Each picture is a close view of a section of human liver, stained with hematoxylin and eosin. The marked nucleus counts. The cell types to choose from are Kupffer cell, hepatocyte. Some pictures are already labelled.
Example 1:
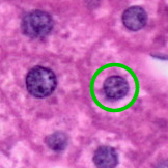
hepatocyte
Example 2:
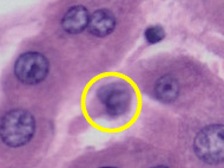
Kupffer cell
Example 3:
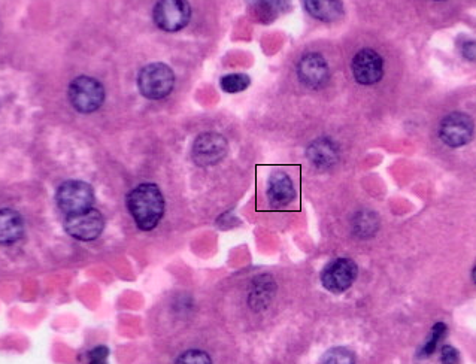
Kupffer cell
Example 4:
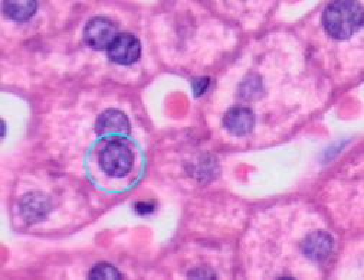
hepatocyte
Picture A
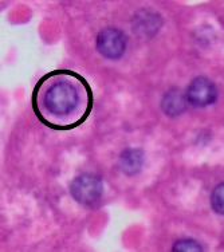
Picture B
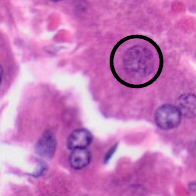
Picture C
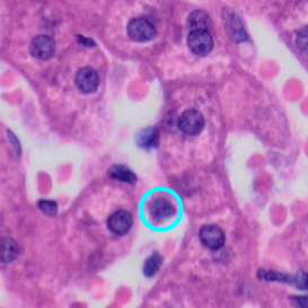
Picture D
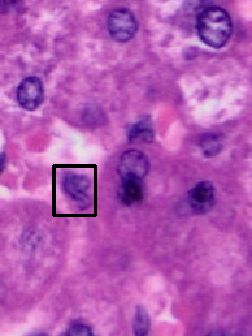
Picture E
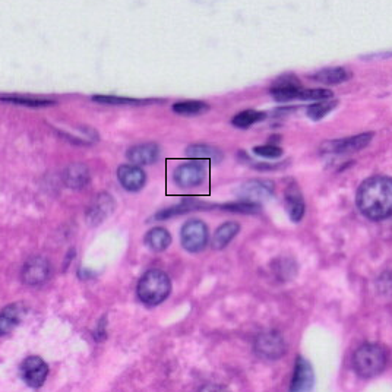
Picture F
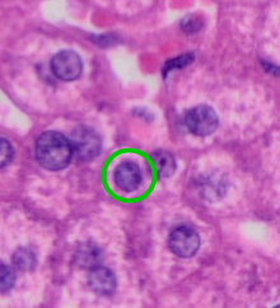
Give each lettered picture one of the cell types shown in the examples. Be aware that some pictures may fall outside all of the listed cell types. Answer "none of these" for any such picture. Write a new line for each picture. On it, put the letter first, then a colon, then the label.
A: hepatocyte
B: hepatocyte
C: Kupffer cell
D: Kupffer cell
E: none of these
F: hepatocyte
